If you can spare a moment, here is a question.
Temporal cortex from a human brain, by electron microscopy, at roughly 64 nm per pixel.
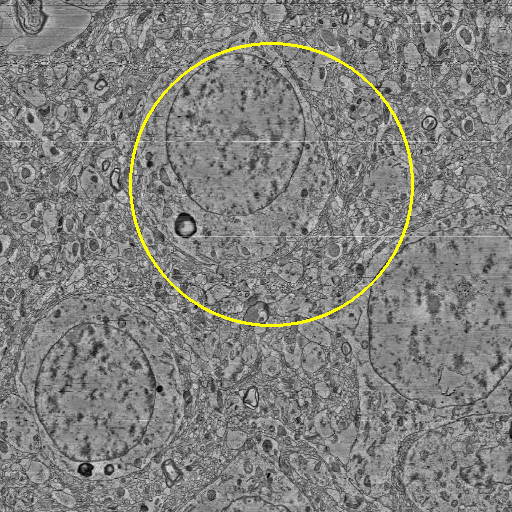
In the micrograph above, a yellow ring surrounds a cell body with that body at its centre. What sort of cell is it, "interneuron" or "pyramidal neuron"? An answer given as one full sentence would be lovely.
Centred inside the yellow ring, the cell body shown belongs to a pyramidal neuron in this micrograph.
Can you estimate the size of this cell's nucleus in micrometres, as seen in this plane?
Roughly 11 by 9 micrometres in this plane, for the nucleus of the ringed cell.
